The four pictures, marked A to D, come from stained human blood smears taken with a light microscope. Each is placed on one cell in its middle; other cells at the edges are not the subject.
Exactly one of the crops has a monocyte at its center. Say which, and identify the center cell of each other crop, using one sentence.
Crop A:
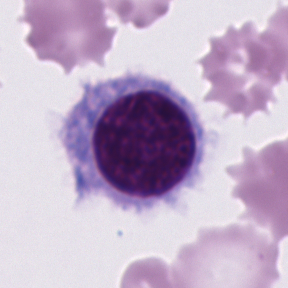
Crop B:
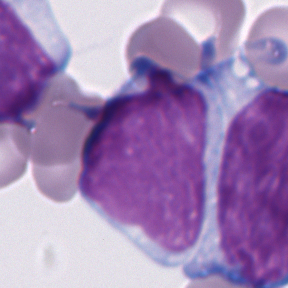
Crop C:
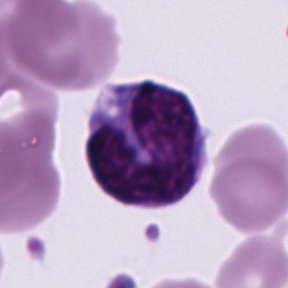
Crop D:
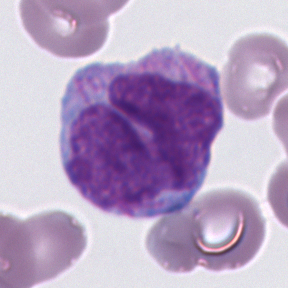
Inside crop C there is a monocyte, while crop A is a hairy cell, crop B is a myeloblast and crop D is an atypical promyelocyte.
